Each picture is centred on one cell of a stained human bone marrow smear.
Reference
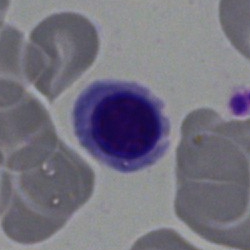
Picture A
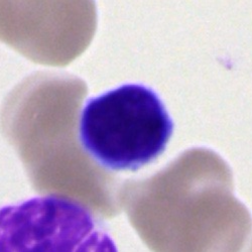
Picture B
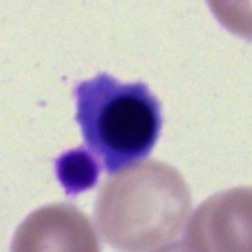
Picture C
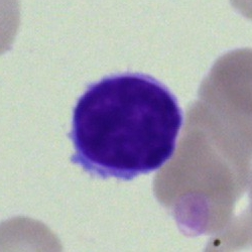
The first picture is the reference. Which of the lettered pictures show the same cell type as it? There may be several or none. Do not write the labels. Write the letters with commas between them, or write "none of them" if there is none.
B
